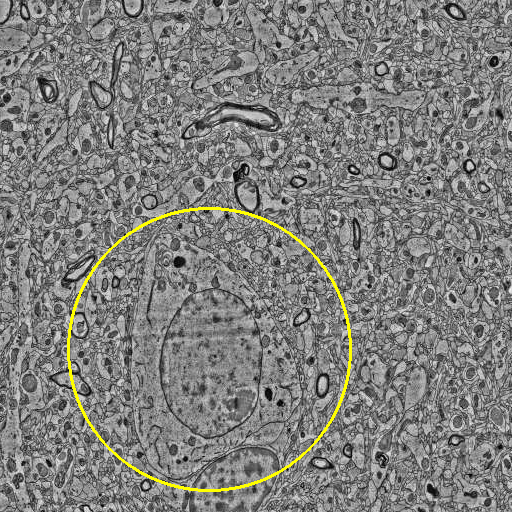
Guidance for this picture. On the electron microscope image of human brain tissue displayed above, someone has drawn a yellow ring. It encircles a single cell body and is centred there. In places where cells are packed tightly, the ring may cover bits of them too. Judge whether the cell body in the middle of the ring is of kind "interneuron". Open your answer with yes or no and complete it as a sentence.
No, another kind matches the cell whose body lies at the ring's centre in the image above.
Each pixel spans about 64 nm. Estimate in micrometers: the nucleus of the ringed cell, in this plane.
About 10 micrometres by about 7 micrometres in this plane.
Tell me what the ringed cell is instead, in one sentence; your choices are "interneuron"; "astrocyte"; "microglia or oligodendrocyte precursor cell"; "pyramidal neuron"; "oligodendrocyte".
The ring's central cell is a pyramidal neuron instead.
